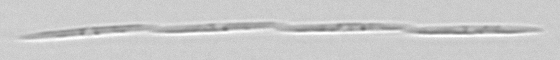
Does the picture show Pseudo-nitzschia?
Yes.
